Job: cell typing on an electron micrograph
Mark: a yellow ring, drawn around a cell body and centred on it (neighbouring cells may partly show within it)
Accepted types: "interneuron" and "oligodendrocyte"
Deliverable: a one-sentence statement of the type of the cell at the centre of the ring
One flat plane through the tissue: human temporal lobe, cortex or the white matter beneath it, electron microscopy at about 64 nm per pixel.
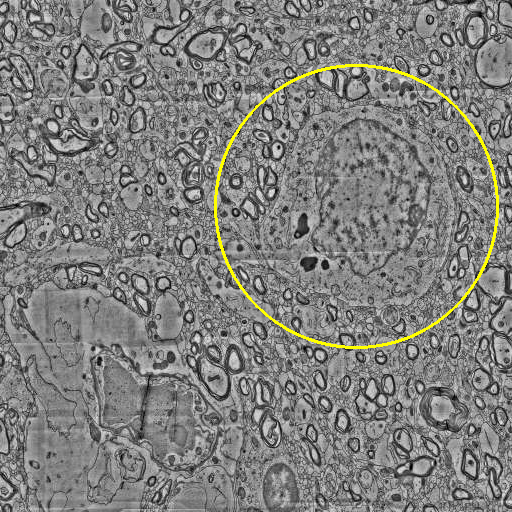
The centred cell body is that of an interneuron.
